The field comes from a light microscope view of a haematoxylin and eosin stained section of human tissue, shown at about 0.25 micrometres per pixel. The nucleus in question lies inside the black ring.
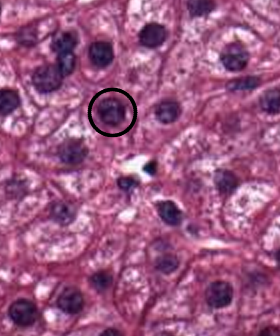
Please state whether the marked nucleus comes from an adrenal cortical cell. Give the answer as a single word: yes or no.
yes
